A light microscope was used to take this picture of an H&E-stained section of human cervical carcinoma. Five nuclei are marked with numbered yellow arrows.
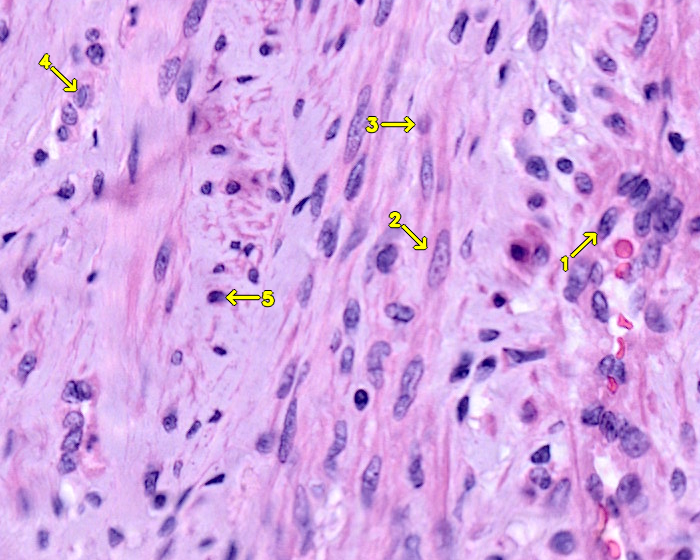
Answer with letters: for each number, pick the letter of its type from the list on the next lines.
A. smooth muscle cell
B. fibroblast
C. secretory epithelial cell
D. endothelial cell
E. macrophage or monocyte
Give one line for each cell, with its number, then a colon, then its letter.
1: D
2: A
3: A
4: D
5: A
